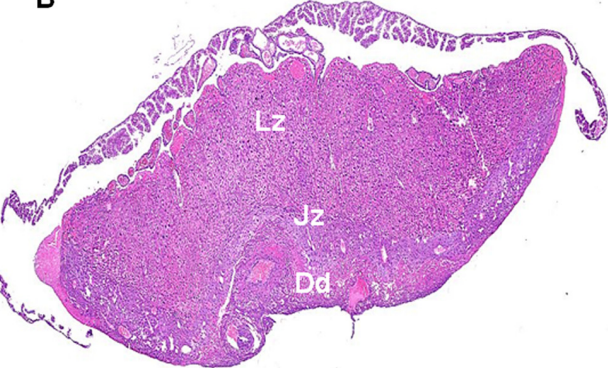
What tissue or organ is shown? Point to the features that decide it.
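A large disc-shaped organ section with a dense spongy pink parenchyma. Thin folded membranes run along its upper margin.
Answer: placenta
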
